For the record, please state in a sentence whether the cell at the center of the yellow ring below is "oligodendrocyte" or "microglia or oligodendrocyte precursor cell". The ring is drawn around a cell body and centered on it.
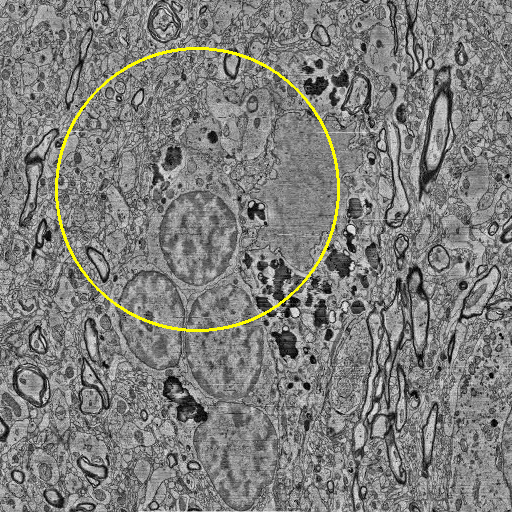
The cell at the ring's center is an oligodendrocyte.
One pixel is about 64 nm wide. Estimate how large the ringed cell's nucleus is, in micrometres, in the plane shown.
In this plane, about 6 micrometres in length and 5 in width.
